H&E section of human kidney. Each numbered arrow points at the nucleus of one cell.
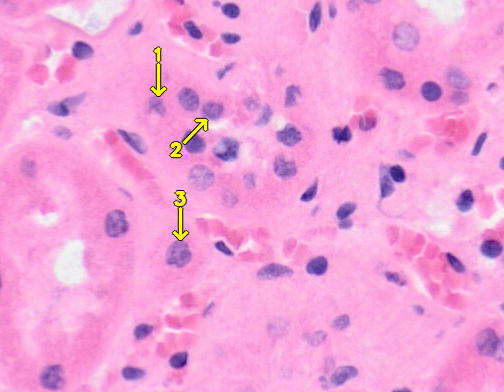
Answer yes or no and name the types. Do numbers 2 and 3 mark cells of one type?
No, cell 2 is a loop of Henle or distal tubule cell, and cell 3, for its part, is a proximal tubule cell.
